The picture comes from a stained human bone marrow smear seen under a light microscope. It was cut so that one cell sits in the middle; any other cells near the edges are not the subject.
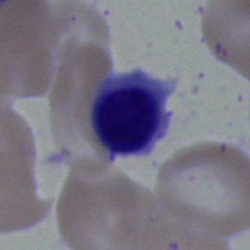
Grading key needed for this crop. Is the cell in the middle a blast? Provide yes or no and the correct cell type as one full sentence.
No, what is seen at the centre is a normoblast instead of a blast.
